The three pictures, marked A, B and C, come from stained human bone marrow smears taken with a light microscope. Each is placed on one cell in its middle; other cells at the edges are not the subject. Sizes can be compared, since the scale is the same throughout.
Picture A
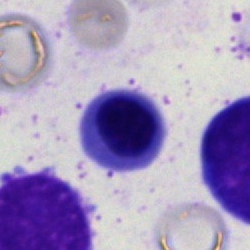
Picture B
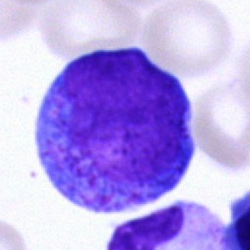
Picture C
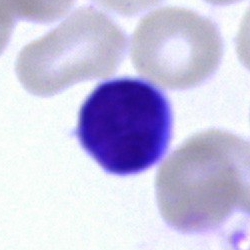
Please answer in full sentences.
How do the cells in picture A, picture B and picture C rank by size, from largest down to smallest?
Going down, they run B, C, A.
